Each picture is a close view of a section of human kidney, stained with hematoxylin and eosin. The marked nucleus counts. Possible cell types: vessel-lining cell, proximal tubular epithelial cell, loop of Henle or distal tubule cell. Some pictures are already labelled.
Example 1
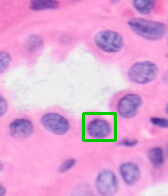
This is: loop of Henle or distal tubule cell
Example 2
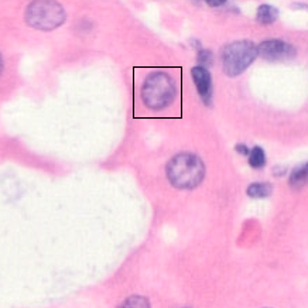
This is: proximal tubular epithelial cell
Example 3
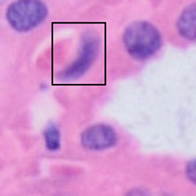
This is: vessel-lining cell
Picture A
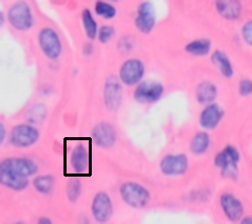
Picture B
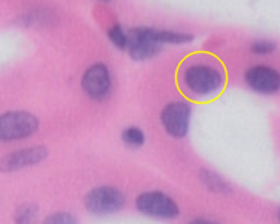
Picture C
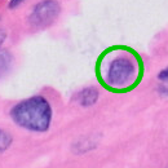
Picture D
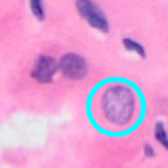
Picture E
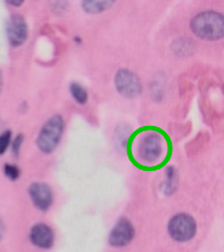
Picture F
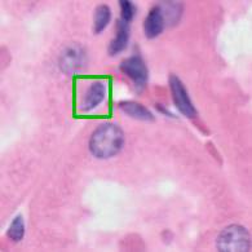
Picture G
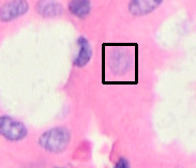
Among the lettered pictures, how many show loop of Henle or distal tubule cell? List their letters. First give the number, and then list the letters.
3, namely B, C, E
